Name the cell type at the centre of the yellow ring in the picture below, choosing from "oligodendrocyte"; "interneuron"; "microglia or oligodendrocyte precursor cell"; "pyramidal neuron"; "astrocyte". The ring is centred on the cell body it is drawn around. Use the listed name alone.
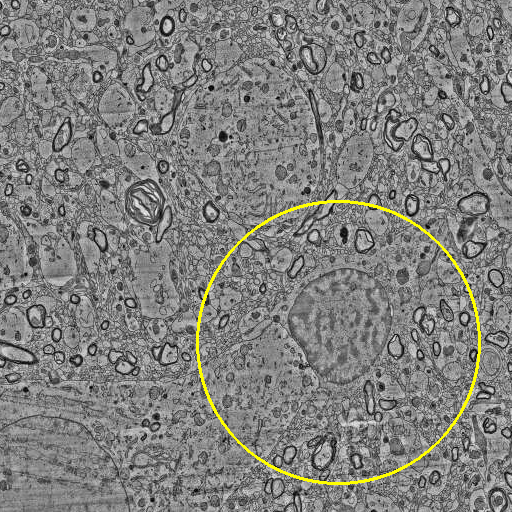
oligodendrocyte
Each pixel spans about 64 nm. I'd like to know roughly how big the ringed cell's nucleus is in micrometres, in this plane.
About 7 by 6 micrometres in this plane.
